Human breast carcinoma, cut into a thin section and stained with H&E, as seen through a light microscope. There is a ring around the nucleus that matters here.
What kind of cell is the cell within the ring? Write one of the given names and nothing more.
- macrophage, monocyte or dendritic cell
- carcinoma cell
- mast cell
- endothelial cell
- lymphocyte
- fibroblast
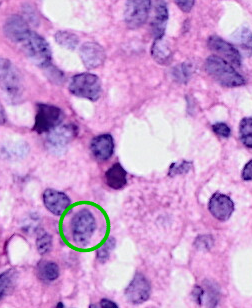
carcinoma cell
